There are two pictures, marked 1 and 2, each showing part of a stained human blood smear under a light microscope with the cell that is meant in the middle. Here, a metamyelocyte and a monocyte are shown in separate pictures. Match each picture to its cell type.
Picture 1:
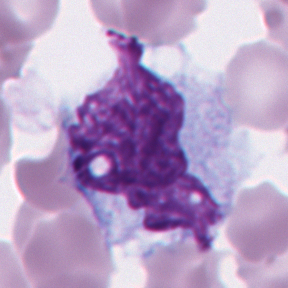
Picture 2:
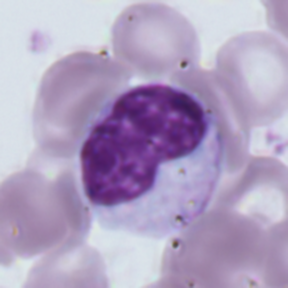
1: monocyte
2: metamyelocyte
